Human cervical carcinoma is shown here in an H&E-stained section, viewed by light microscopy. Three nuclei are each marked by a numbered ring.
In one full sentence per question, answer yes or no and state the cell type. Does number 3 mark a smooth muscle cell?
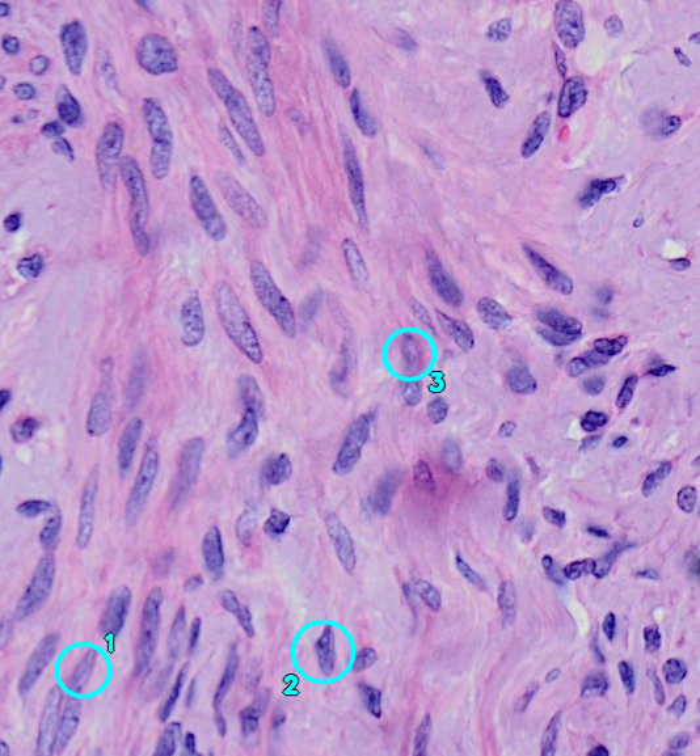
Yes, the cell denoted by 3 is a smooth muscle cell.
